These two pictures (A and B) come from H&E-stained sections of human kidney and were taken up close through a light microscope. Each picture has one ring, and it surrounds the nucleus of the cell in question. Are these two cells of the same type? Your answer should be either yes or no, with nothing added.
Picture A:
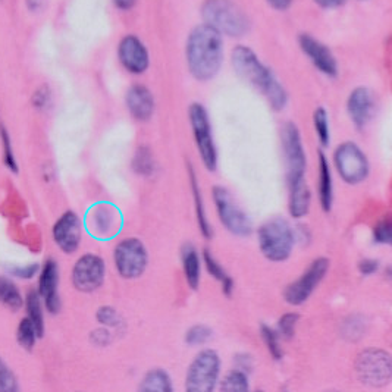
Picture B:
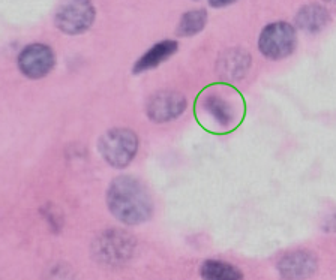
yes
